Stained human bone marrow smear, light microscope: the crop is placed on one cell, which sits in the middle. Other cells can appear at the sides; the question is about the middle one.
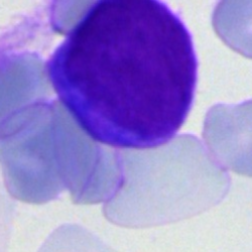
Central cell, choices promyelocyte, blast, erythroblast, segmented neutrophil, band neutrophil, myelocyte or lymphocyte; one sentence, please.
The crop centres on a single cell, and that cell is a blast.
